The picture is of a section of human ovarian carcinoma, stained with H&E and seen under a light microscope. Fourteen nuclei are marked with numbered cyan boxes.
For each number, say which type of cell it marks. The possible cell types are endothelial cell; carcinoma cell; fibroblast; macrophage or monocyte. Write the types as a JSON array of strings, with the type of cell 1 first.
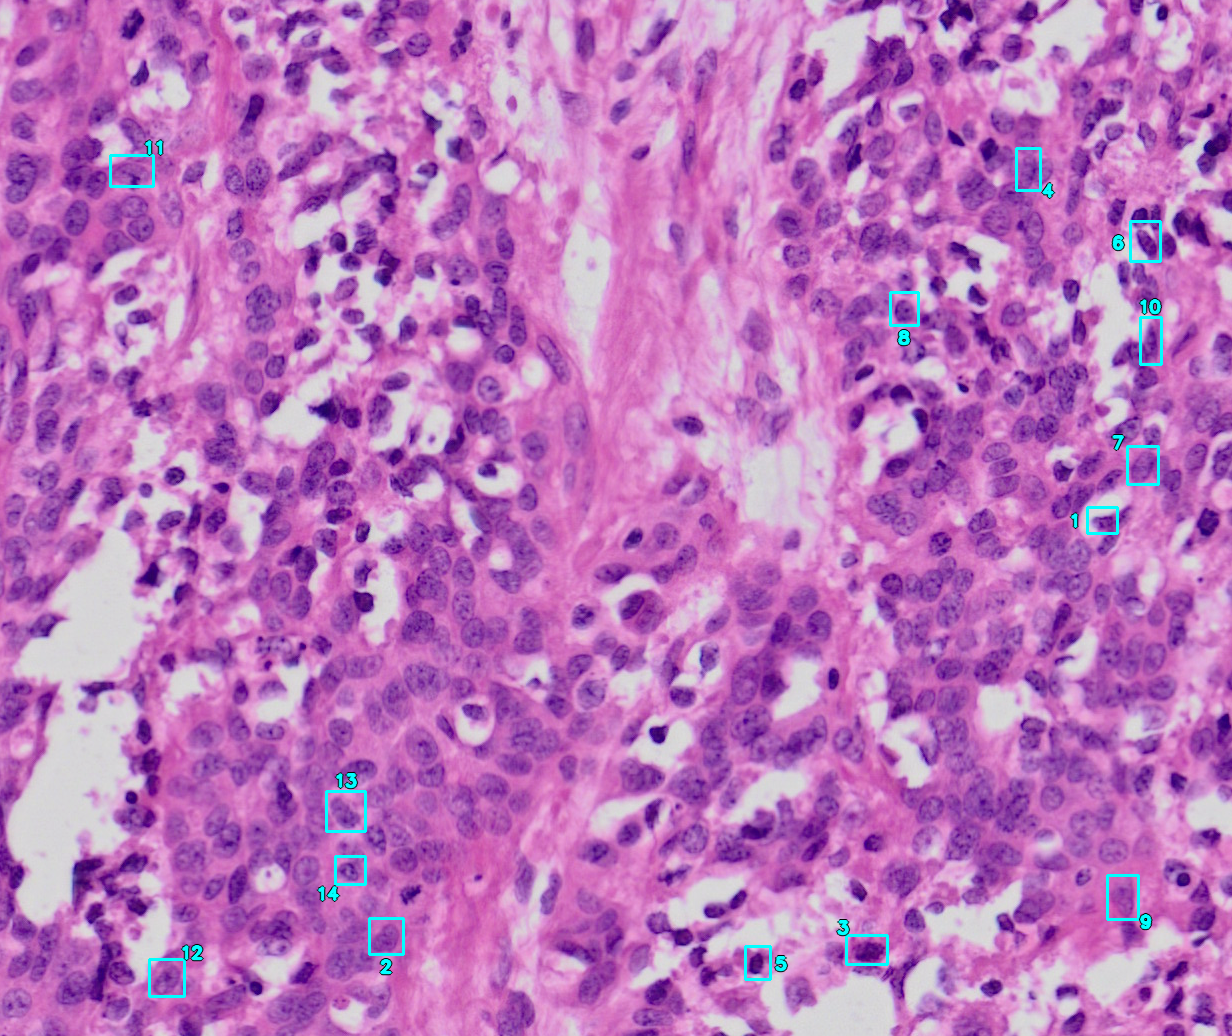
["carcinoma cell", "carcinoma cell", "macrophage or monocyte", "carcinoma cell", "macrophage or monocyte", "carcinoma cell", "carcinoma cell", "macrophage or monocyte", "endothelial cell", "carcinoma cell", "carcinoma cell", "carcinoma cell", "macrophage or monocyte", "macrophage or monocyte"]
